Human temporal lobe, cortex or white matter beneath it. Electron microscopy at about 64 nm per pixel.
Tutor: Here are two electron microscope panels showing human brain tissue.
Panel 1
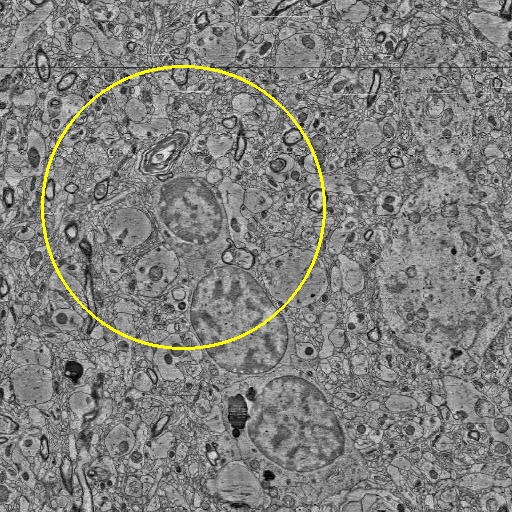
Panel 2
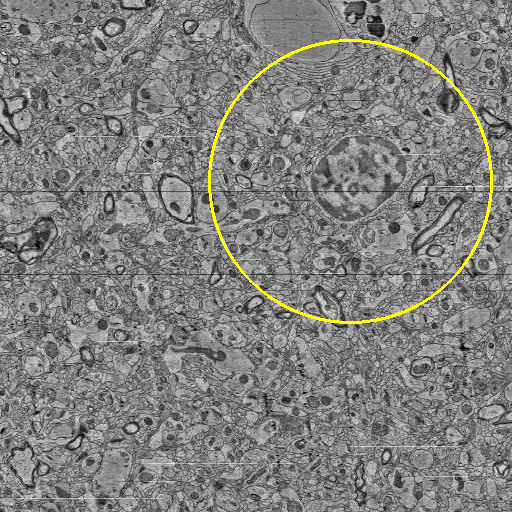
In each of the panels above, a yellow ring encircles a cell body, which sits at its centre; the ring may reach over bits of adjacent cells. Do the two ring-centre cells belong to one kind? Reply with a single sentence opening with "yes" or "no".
No, the two cells sitting at the ring centres in the panels belong to two kinds.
